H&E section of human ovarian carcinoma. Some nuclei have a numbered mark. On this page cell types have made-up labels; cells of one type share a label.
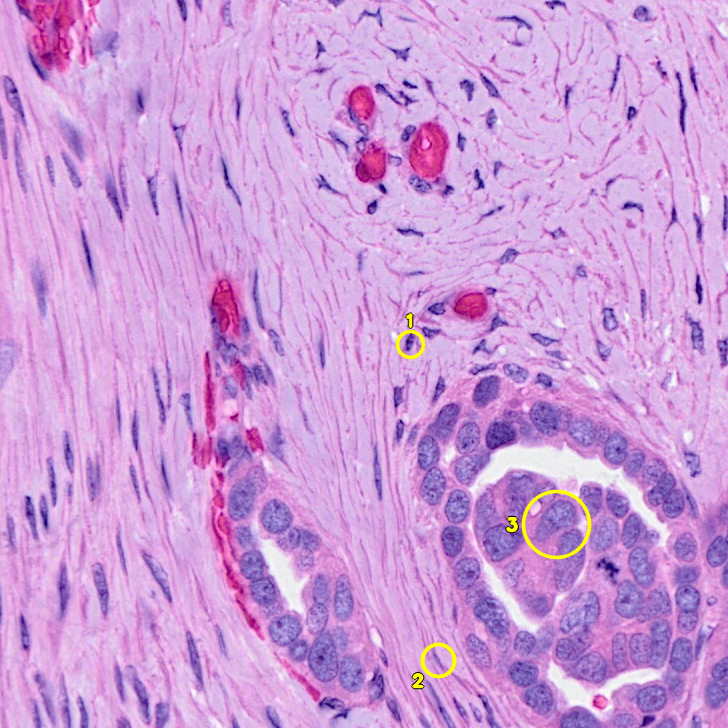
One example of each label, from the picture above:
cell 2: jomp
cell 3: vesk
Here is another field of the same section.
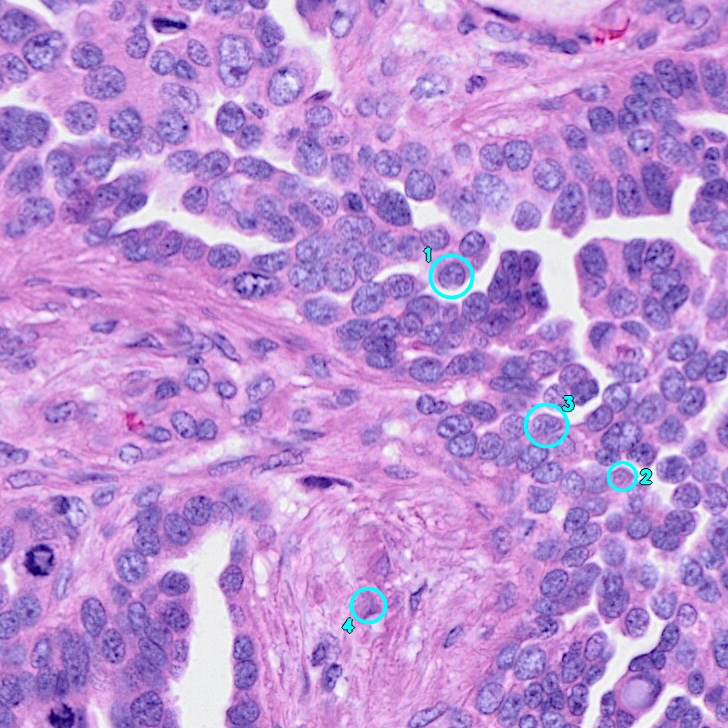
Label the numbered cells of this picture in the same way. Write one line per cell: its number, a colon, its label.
1: vesk
2: vesk
3: vesk
4: jomp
